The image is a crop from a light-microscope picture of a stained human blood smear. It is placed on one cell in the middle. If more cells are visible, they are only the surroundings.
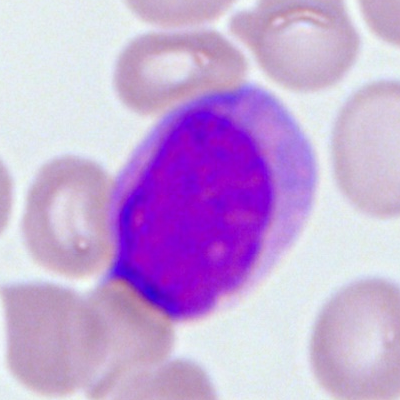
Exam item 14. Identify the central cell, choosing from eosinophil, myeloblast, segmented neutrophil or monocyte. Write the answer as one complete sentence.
Standing at the centre of this crop is a myeloblast.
